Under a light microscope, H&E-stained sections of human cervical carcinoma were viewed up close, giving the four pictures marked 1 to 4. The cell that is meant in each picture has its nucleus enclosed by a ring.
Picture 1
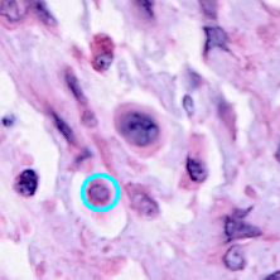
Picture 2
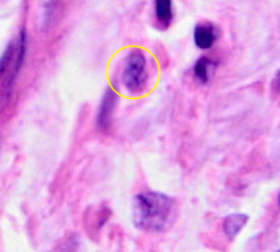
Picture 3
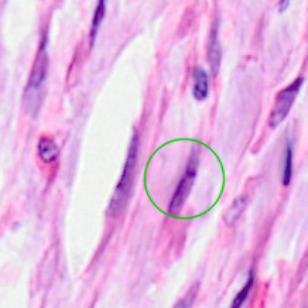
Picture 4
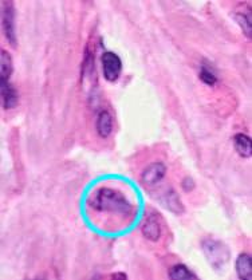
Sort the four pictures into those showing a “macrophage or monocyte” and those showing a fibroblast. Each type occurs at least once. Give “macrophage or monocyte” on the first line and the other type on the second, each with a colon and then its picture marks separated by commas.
macrophage or monocyte: 1, 2, 4
fibroblast: 3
